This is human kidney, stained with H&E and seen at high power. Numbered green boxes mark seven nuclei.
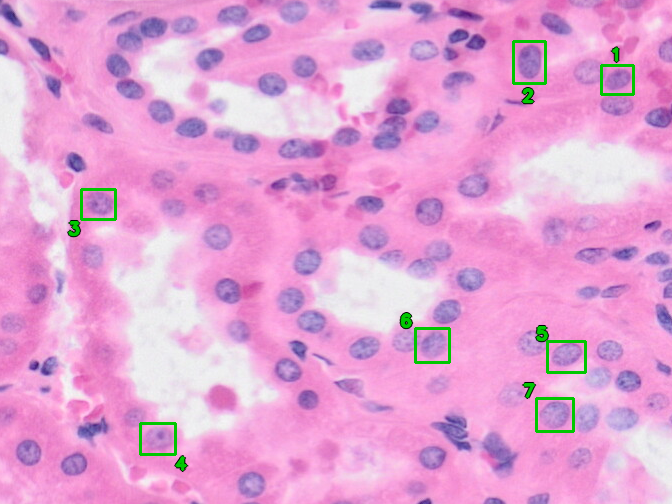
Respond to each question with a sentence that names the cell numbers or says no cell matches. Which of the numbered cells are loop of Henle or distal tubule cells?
The cells referred to by the numbers 5, 6 and 7 are loop of Henle or distal tubule cells.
